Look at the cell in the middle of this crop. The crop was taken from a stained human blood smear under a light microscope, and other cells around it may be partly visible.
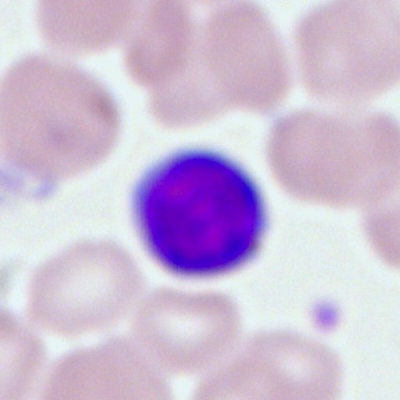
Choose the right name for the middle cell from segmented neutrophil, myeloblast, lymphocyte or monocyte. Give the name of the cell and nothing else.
lymphocyte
